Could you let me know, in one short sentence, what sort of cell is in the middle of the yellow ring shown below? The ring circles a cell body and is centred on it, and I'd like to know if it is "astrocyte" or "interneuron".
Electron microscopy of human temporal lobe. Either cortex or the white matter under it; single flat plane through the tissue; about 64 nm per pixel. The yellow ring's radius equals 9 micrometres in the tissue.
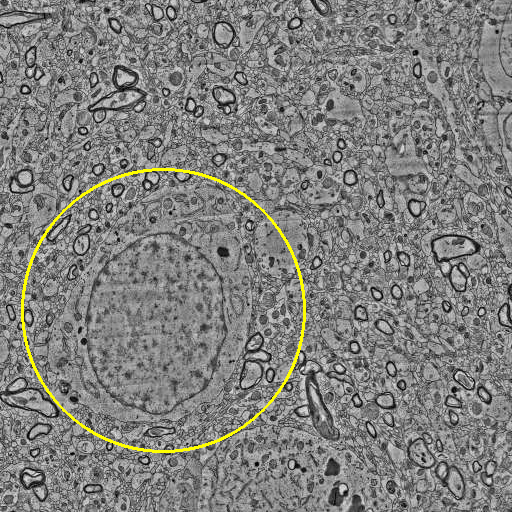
The ring circles the cell body of an interneuron.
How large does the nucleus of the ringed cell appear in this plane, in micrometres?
Roughly 12 by 9 micrometres is the size of the nucleus in this plane.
